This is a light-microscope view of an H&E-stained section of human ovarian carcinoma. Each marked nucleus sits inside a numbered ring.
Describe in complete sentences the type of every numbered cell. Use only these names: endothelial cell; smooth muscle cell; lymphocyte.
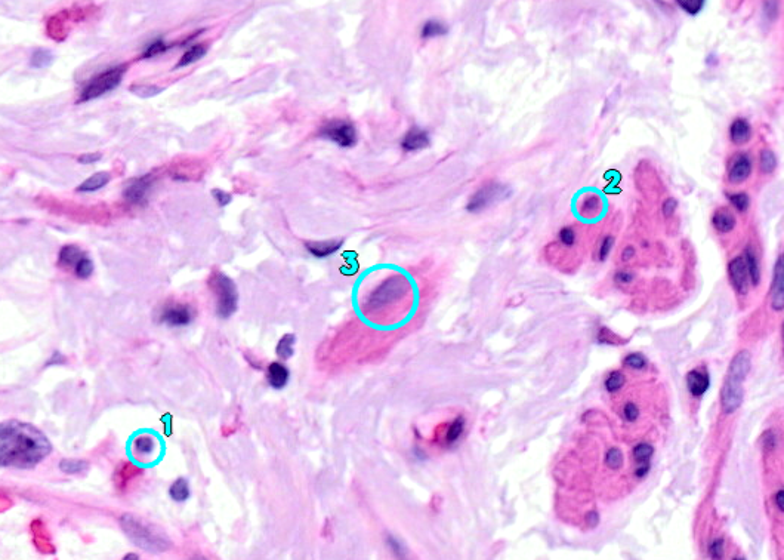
Cell 1 is a lymphocyte. Cells 2 and 3 are smooth muscle cells.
